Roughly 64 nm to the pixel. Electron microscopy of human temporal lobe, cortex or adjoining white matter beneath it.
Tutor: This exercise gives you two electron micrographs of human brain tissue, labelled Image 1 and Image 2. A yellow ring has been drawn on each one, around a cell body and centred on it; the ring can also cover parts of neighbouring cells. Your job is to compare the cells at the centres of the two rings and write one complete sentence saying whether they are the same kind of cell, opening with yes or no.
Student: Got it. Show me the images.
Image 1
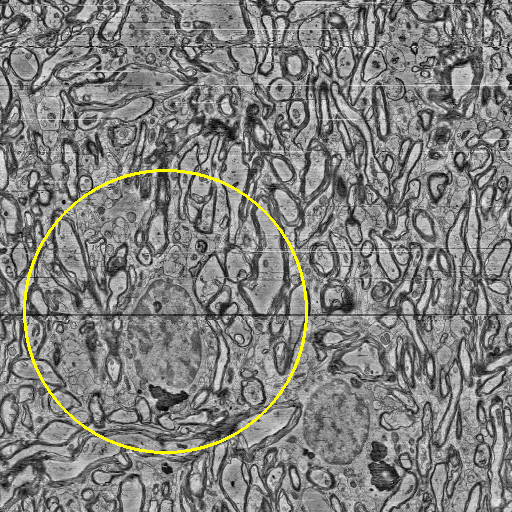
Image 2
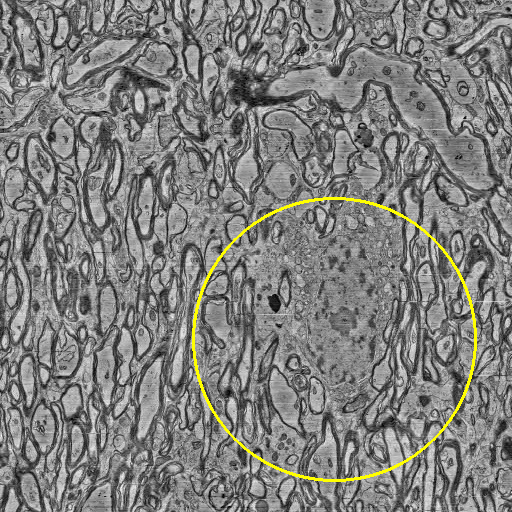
No, the two cells belong to two kinds.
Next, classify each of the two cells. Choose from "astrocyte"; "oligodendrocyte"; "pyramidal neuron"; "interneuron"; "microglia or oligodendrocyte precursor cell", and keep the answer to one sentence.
In the first picture it is an oligodendrocyte; in the second it is an astrocyte.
